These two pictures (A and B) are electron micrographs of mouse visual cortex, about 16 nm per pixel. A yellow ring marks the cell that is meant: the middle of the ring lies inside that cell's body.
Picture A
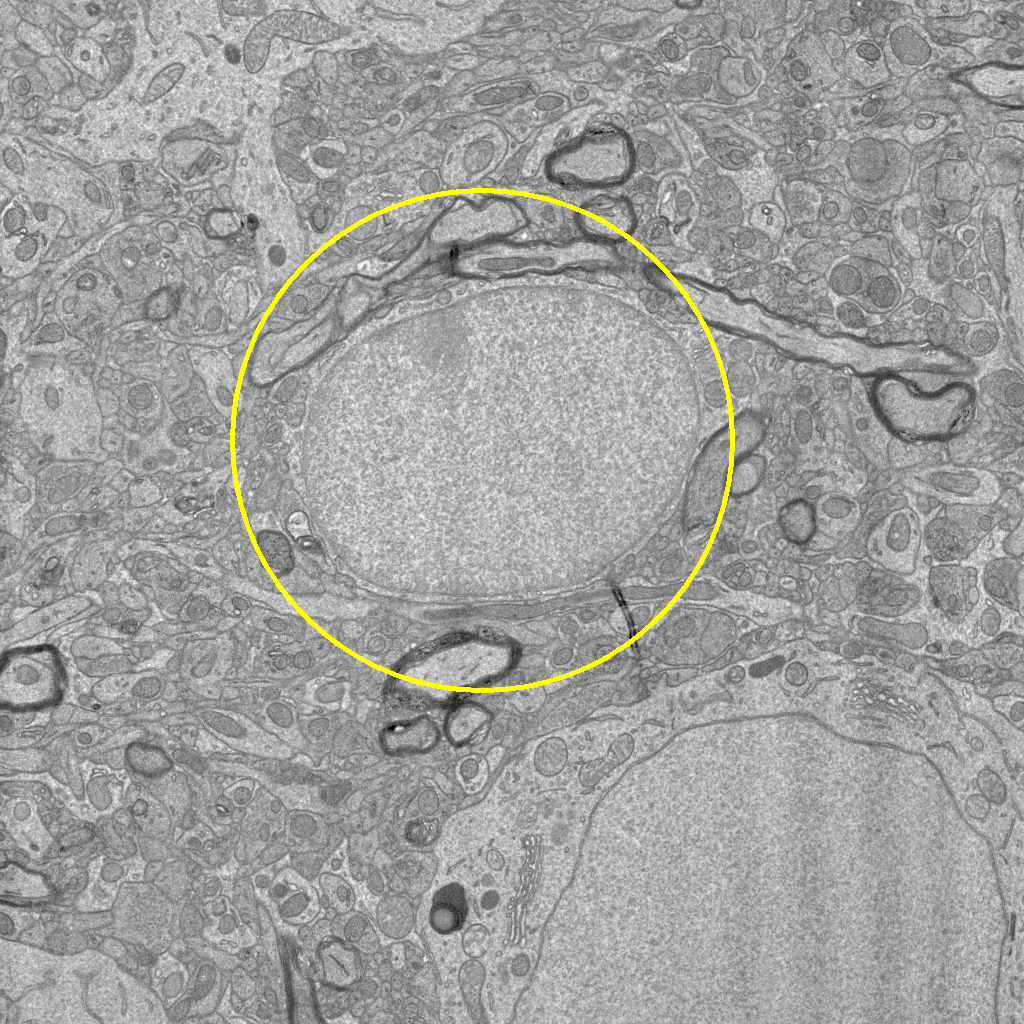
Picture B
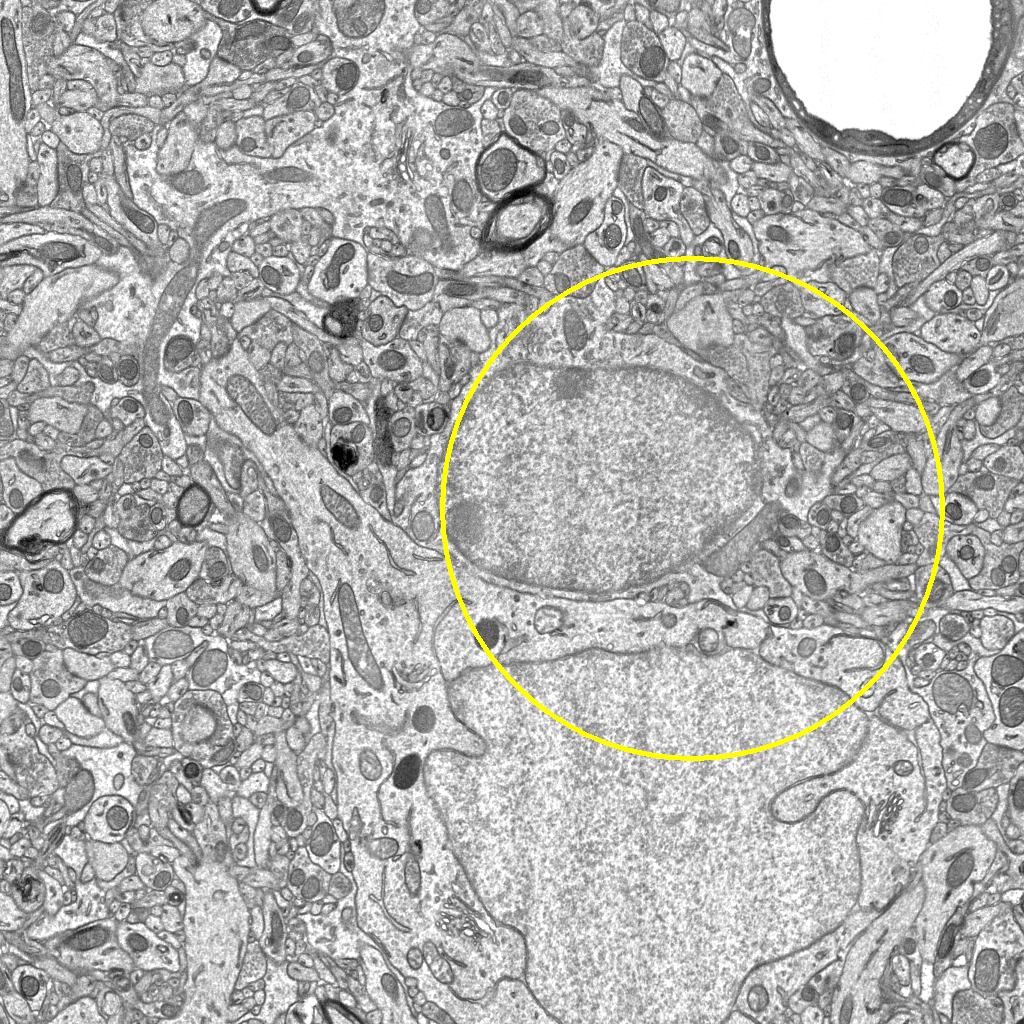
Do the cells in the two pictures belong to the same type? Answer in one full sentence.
Yes, both cells are astrocytes.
